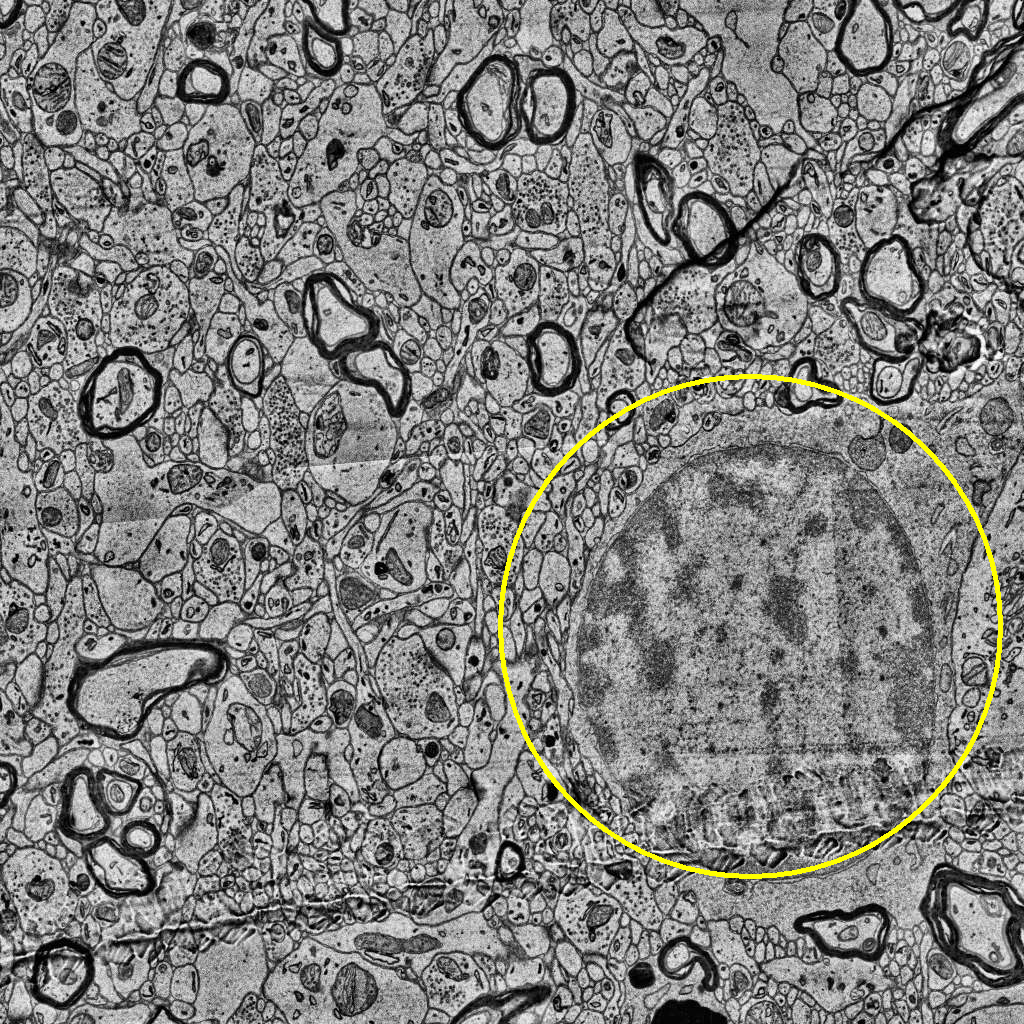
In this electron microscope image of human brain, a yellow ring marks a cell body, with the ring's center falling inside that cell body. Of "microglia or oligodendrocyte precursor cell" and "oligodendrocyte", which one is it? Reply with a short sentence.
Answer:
It is an oligodendrocyte at the center of the ring.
